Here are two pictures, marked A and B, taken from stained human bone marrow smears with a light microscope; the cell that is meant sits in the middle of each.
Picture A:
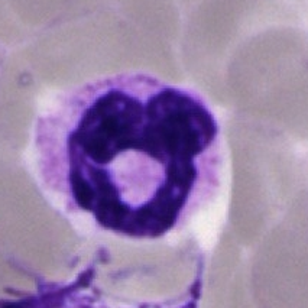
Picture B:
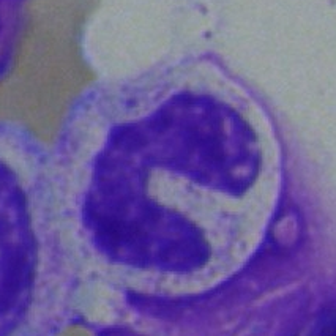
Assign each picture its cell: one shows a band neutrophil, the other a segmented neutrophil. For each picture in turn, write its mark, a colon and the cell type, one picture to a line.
A: segmented neutrophil
B: band neutrophil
